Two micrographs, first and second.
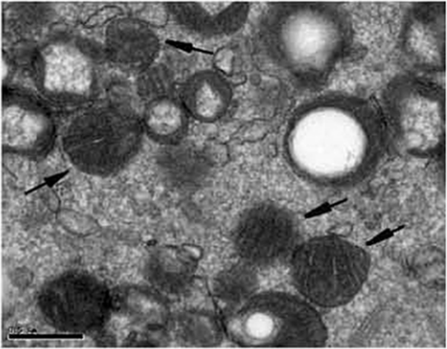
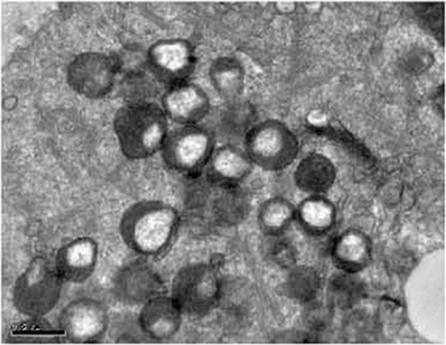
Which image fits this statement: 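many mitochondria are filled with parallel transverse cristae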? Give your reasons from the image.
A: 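The first image. First image: several dark oval mitochondria are crossed by many parallel lines. Second image: the mitochondria are round with dark rims and pale centres, with few internal lines.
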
